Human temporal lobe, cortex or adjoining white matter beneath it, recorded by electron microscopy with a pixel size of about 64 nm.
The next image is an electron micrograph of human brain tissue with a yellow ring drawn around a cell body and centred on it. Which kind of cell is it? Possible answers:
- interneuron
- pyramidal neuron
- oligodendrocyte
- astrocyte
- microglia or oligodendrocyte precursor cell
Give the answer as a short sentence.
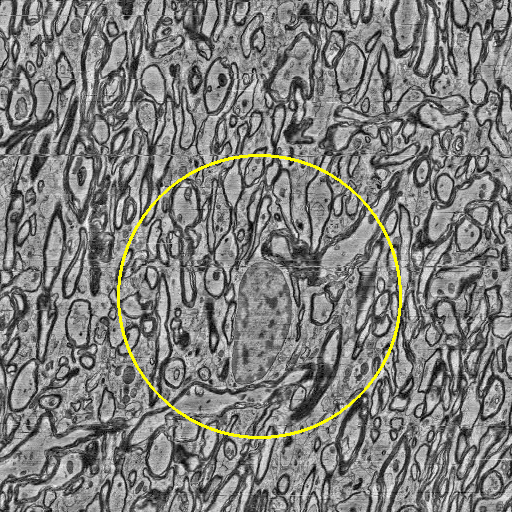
In the ring's centre is a microglial cell or oligodendrocyte precursor cell.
